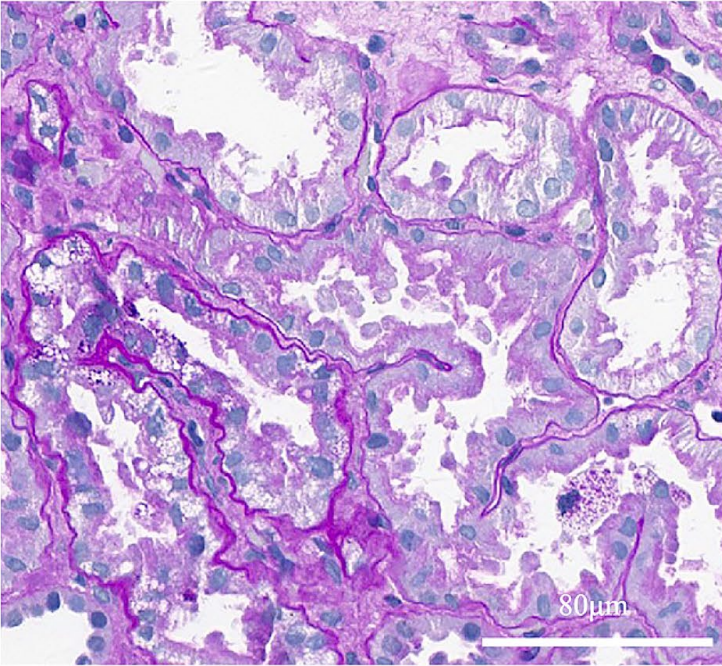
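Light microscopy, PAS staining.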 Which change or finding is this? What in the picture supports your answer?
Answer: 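Vacuolar degeneration of renal tubular epithelial cells. Tubular epithelial cells have pale, vacuolated cytoplasm. Some cells contain many small clear vacuoles.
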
